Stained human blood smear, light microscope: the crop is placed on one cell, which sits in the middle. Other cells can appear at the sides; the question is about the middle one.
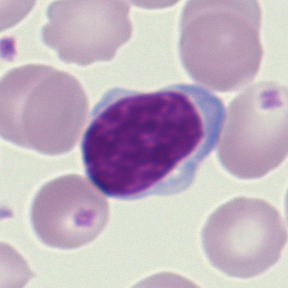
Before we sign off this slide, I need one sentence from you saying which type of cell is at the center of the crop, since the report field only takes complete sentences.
In this crop, the cell at the very middle is a typical lymphocyte.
